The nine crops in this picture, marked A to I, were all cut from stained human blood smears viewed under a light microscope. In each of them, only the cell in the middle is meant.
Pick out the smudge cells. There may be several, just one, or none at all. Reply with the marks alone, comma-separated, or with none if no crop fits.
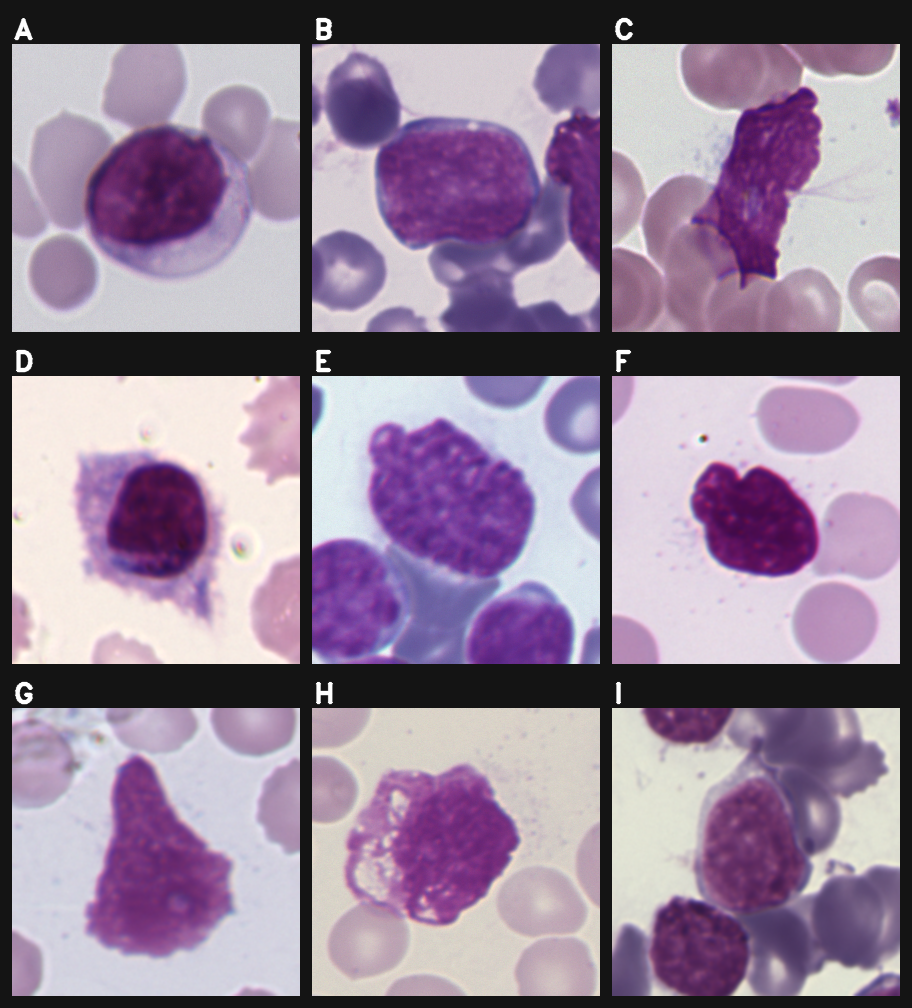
C, F, G, H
